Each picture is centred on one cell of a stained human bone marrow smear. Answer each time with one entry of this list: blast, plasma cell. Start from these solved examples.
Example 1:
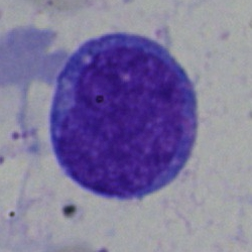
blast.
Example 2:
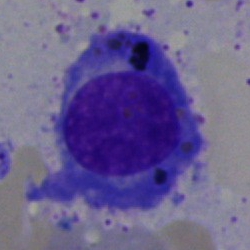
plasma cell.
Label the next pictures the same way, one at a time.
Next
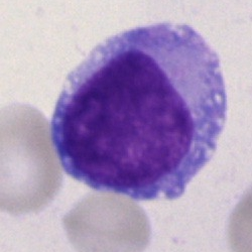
blast.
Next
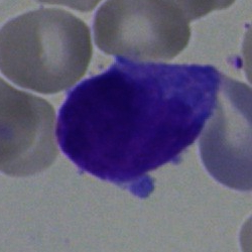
blast.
